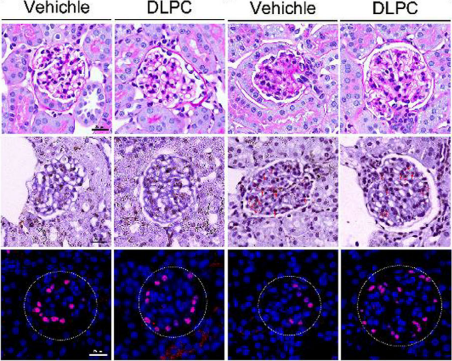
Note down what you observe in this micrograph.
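A grid of small images shows single glomeruli of the kidney in section, each surrounded by tubules. In the top row, the glomerular tufts stain pink to magenta with purple nuclei and are ringed by a thin capsule and a clear space, with tubules of pink cytoplasm around them. In the bottom row, a dotted circle marks each glomerulus, where some nuclei are red among many blue nuclei.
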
